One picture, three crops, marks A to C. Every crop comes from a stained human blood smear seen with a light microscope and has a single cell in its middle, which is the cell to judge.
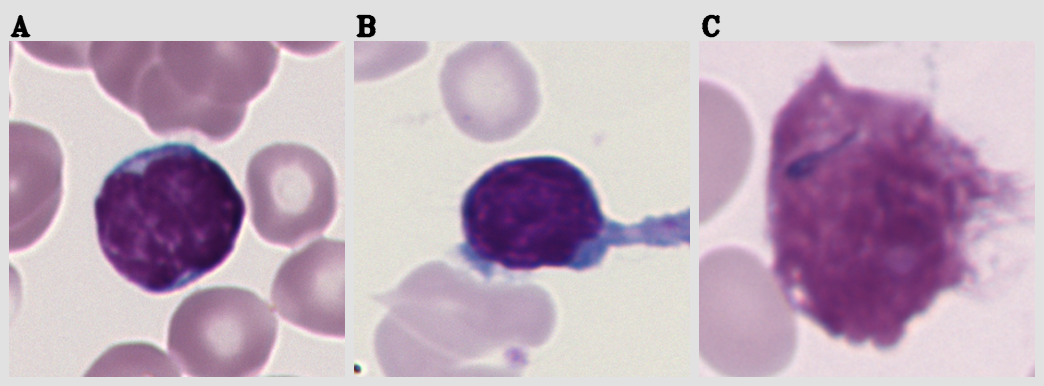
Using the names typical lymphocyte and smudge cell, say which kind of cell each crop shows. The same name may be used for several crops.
A: typical lymphocyte
B: typical lymphocyte
C: smudge cell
